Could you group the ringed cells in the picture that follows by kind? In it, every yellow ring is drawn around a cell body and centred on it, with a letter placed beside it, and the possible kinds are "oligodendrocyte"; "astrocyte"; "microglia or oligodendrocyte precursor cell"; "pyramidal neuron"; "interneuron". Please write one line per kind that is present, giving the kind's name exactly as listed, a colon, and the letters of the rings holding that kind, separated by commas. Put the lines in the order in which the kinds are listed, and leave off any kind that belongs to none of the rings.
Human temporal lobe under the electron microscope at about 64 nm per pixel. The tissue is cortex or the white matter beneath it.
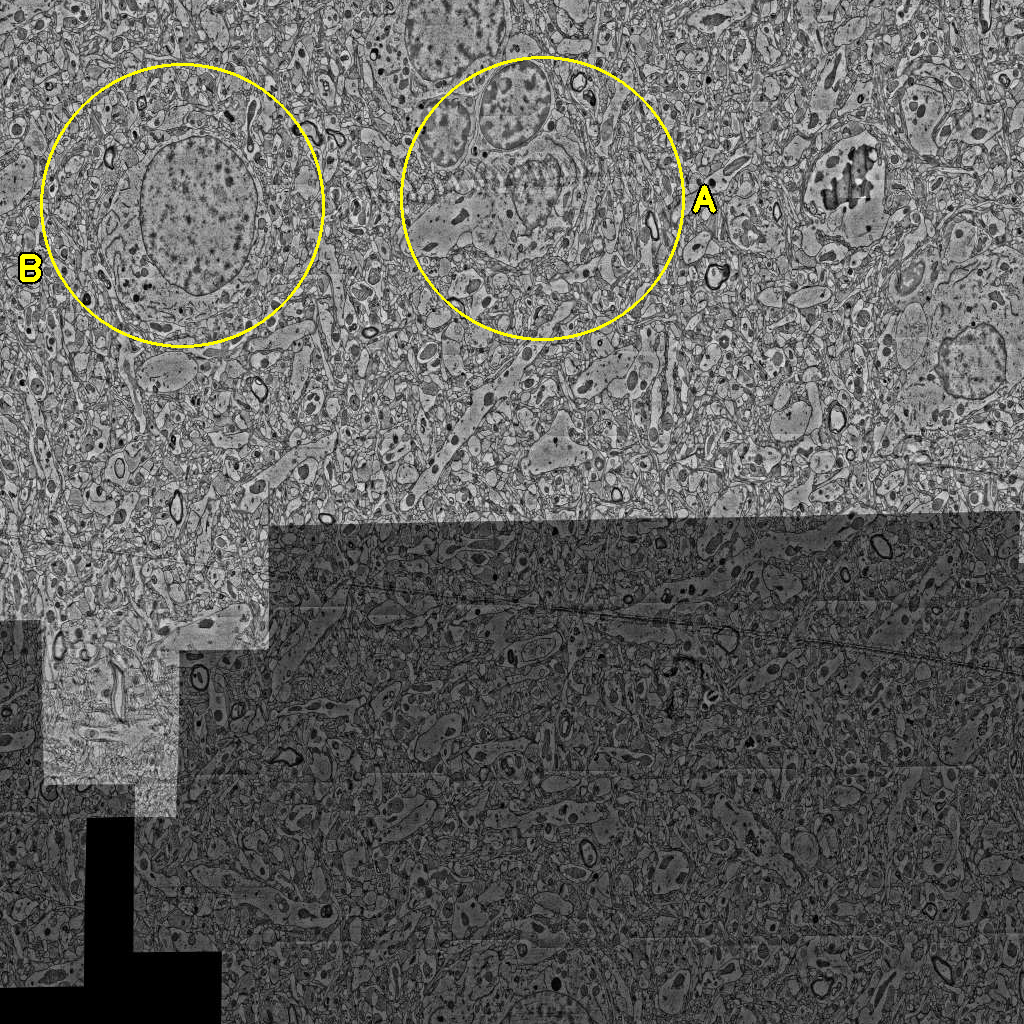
pyramidal neuron: B
interneuron: A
